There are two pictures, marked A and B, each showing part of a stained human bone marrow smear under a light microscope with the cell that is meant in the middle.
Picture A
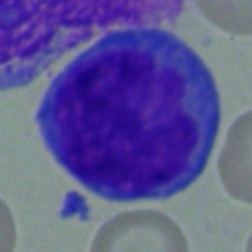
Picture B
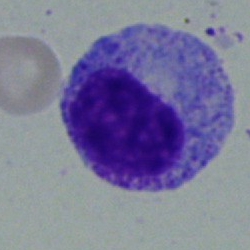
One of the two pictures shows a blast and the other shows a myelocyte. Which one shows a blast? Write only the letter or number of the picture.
A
